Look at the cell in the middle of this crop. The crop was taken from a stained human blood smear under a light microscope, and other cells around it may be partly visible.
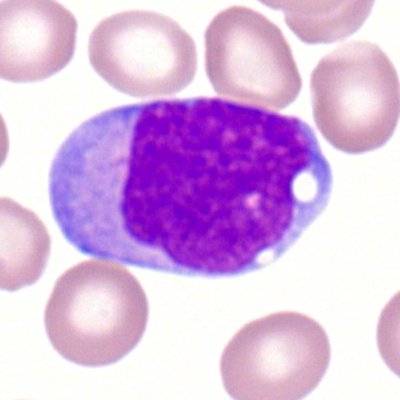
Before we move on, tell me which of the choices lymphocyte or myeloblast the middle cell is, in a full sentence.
At the crop's centre, the cell is a myeloblast.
